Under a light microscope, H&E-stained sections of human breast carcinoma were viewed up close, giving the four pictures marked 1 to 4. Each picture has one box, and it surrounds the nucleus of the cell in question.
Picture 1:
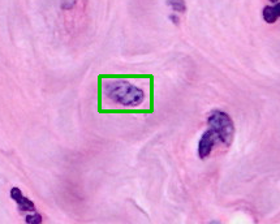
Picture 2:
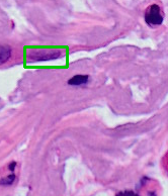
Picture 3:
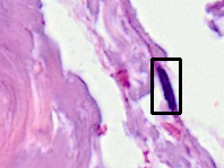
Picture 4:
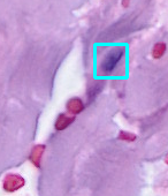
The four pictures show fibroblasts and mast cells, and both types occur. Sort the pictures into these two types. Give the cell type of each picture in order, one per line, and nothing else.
mast cell
fibroblast
fibroblast
fibroblast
